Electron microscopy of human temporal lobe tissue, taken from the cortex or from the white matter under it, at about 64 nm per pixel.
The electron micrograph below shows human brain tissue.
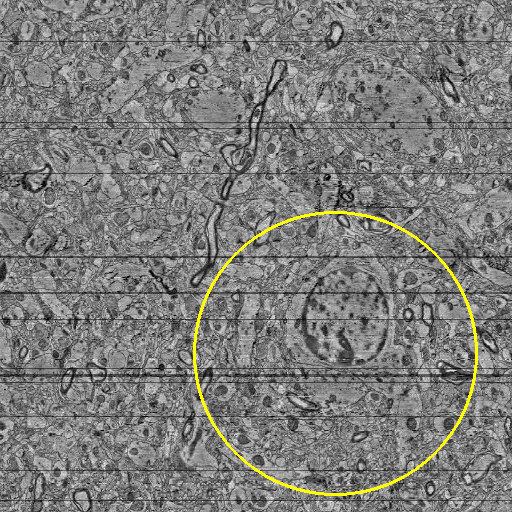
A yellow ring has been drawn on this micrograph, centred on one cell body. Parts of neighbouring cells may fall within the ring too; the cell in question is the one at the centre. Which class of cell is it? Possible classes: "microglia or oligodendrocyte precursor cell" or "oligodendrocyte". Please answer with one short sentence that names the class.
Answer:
In the centre of the ring sits a microglial cell or oligodendrocyte precursor cell.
